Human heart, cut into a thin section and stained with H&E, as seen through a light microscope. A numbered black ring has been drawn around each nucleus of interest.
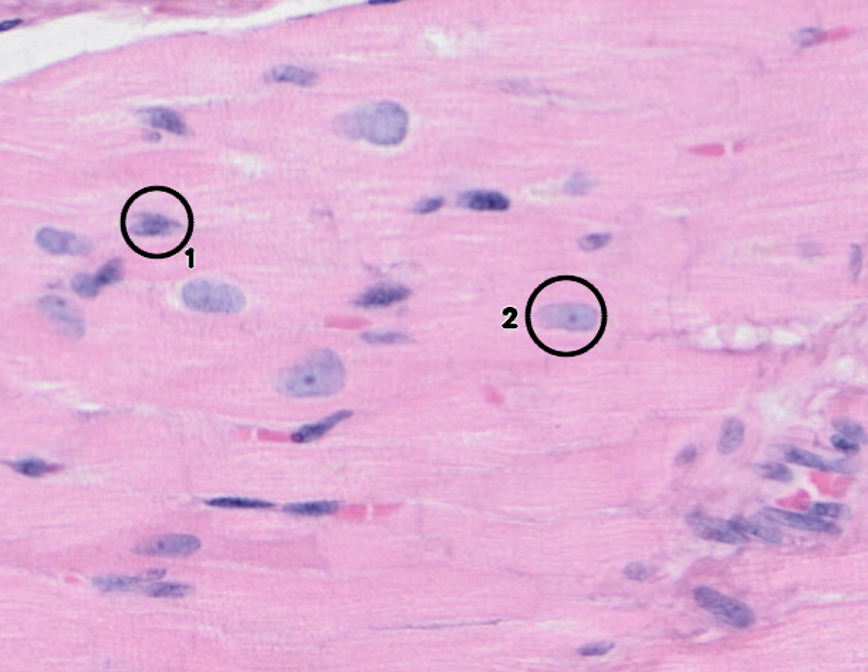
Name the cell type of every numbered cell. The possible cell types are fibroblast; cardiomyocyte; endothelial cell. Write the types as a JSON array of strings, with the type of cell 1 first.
["endothelial cell", "cardiomyocyte"]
